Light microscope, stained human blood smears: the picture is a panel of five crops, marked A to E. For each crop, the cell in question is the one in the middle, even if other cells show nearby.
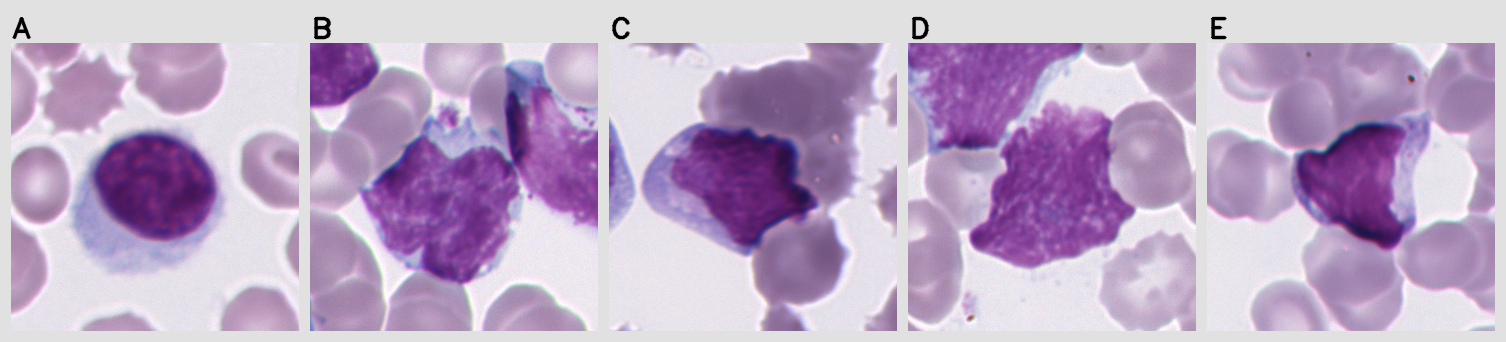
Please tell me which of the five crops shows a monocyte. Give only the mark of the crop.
B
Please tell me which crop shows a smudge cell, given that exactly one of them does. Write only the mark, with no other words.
D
